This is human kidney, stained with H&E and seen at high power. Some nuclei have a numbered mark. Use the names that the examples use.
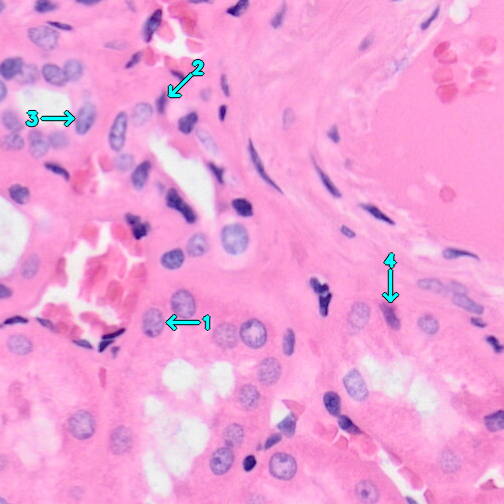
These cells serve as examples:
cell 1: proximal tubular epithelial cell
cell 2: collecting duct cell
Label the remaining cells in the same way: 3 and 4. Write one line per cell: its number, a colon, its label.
3: collecting duct cell
4: proximal tubular epithelial cell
